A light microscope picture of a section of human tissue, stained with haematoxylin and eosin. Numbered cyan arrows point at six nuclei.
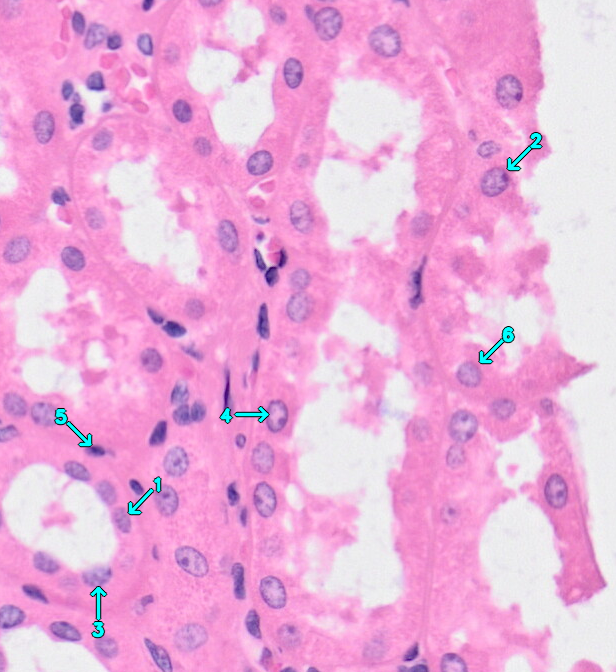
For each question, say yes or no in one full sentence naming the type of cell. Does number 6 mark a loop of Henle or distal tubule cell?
No, the cell labelled number 6 is not a loop of Henle or distal tubule cell; it is a proximal tubule cell.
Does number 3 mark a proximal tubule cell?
No, number 3 does not mark a proximal tubule cell; it marks a loop of Henle or distal tubule cell.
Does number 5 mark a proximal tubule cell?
No, cell 5 does not count as a proximal tubule cell; it is an endothelial cell.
